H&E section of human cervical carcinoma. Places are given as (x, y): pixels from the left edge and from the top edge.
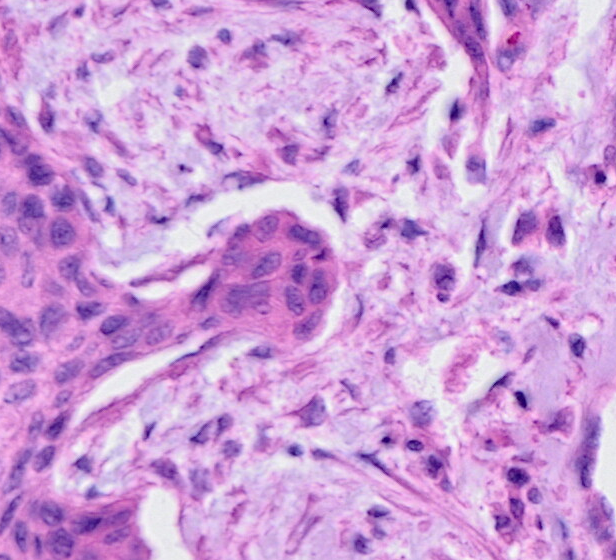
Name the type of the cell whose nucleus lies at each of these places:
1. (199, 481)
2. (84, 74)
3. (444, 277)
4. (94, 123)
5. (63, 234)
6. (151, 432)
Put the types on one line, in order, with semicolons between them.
fibroblast; fibroblast; macrophage or monocyte; fibroblast; squamous carcinoma cell; fibroblast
